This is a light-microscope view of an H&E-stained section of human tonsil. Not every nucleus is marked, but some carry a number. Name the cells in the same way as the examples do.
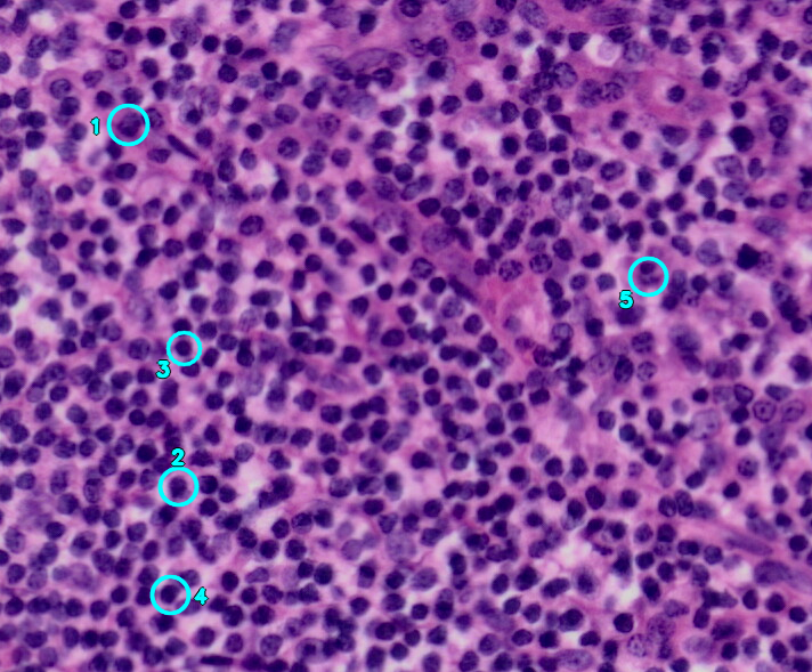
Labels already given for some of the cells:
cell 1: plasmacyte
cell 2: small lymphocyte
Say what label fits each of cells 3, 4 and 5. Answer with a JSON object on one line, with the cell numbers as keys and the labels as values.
{"3": "small lymphocyte", "4": "small lymphocyte", "5": "plasmacyte"}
